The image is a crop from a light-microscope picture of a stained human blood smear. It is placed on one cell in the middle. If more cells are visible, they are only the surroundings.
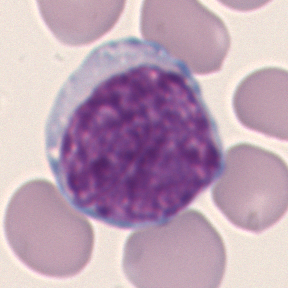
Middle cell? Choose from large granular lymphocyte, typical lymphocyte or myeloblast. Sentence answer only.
Present in the middle of the crop is a myeloblast.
